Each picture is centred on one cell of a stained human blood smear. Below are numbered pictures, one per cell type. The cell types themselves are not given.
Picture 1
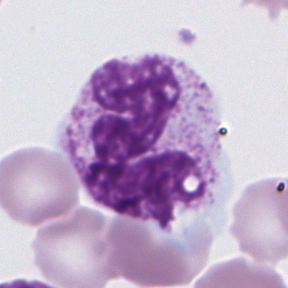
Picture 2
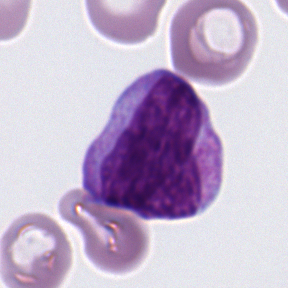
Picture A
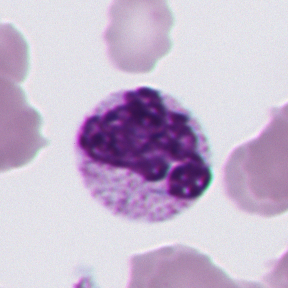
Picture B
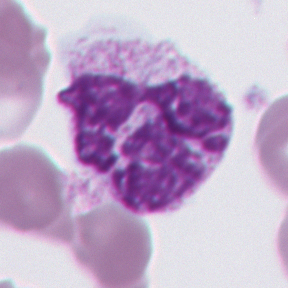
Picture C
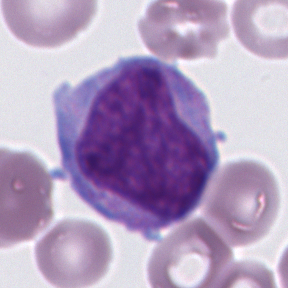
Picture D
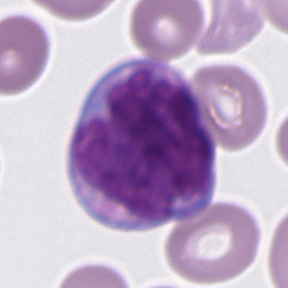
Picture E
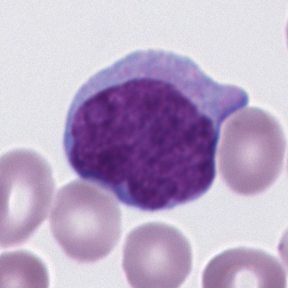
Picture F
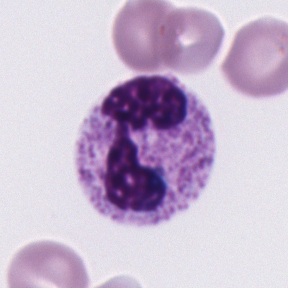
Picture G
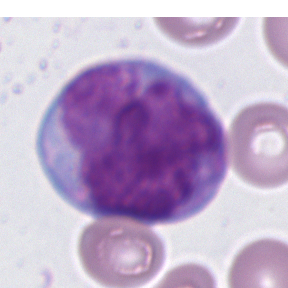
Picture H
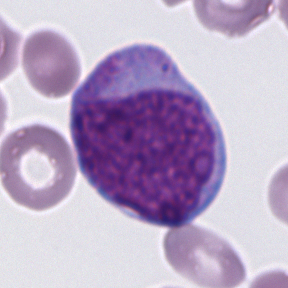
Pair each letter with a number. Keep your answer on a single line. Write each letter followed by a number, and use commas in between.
A 1, B 1, C 2, D 2, E 2, F 1, G 2, H 2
